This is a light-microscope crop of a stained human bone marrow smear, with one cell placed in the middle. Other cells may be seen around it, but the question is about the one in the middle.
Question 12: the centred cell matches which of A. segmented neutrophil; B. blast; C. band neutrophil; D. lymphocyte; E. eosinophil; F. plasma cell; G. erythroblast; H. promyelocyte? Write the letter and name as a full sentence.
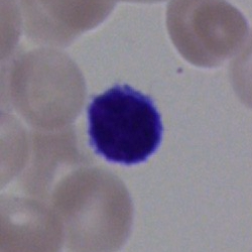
Option D is to be chosen, as the central cell is a lymphocyte.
